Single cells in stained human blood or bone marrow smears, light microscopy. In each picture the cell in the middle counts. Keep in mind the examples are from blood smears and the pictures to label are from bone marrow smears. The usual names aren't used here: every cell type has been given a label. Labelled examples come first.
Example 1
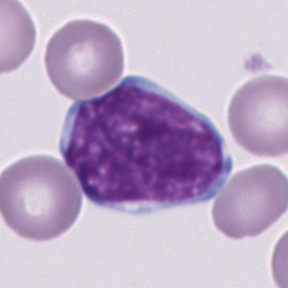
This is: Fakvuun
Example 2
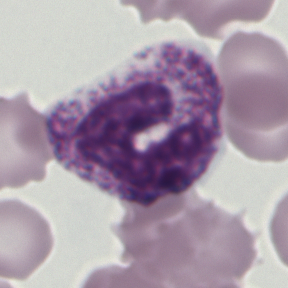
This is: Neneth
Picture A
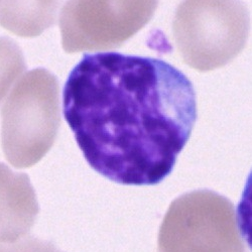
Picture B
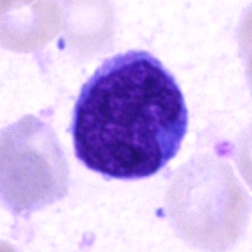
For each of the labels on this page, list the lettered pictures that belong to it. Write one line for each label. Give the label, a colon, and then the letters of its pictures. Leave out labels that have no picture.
Fakvuun: A, B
